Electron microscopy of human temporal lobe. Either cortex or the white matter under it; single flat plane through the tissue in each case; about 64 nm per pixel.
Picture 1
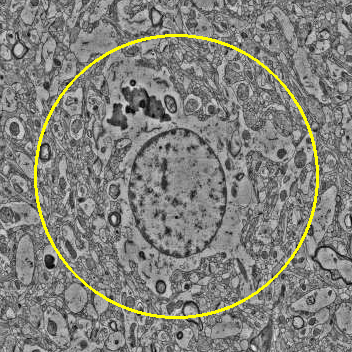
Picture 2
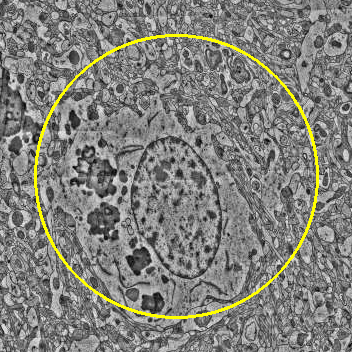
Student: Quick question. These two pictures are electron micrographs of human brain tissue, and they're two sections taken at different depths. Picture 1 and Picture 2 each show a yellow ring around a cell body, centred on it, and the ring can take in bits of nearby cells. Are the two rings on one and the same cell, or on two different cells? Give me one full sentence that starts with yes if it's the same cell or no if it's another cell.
No, the circled cells number two, not one.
